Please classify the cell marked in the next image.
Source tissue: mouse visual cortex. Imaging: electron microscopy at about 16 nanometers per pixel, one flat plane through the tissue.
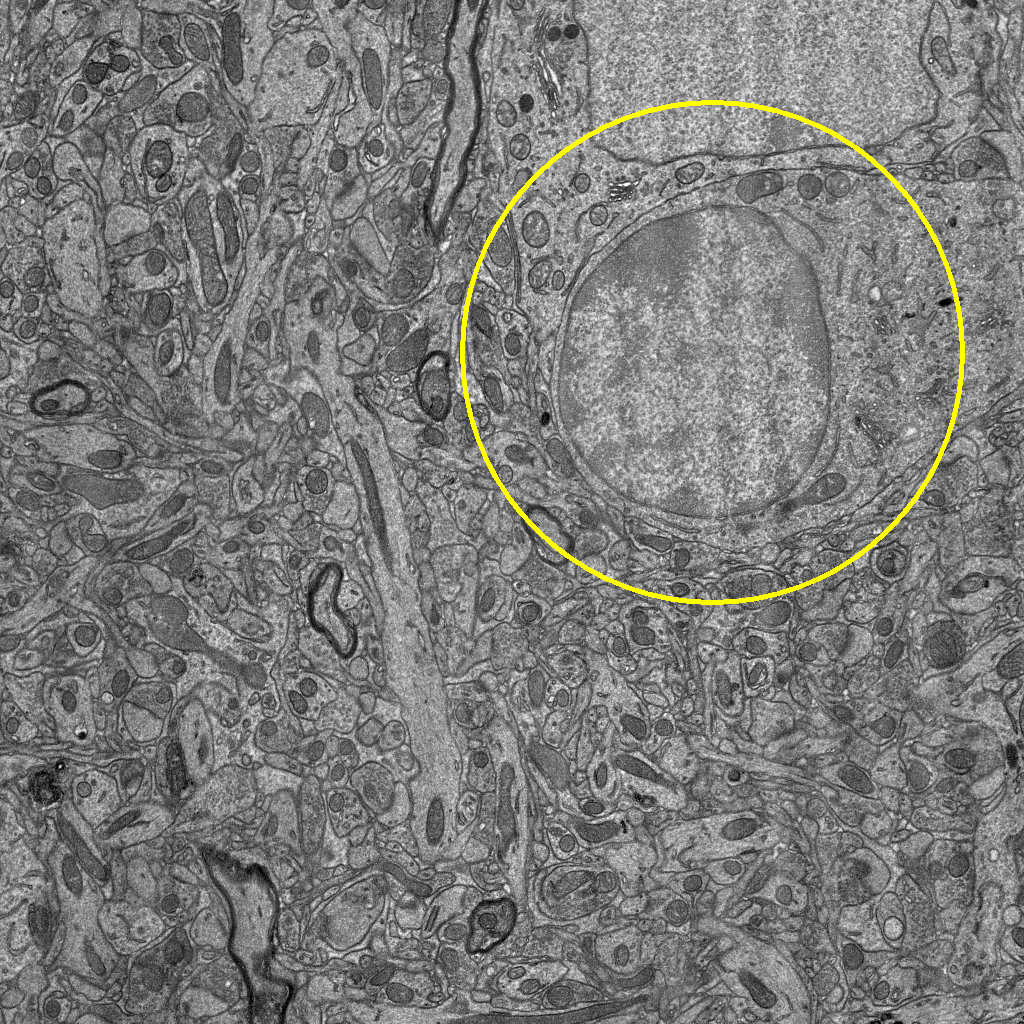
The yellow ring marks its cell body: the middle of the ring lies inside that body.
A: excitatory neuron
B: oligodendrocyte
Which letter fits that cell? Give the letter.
B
